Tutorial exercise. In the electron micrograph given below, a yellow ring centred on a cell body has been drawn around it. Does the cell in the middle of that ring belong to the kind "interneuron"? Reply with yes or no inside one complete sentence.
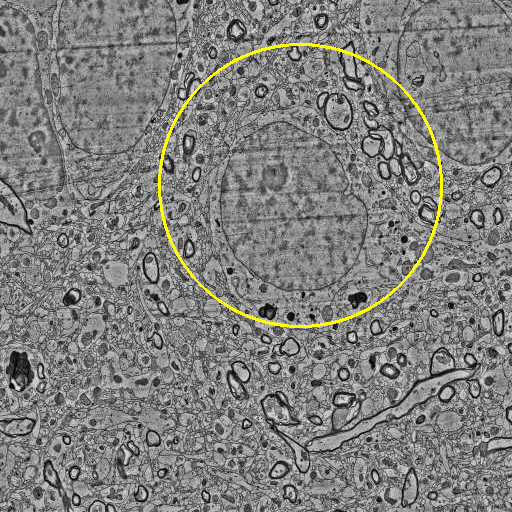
No, the cell at the centre of the ring in the picture is of a different kind.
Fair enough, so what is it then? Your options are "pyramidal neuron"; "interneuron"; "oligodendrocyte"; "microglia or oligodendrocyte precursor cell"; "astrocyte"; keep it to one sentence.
The cell in question here is a pyramidal neuron.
